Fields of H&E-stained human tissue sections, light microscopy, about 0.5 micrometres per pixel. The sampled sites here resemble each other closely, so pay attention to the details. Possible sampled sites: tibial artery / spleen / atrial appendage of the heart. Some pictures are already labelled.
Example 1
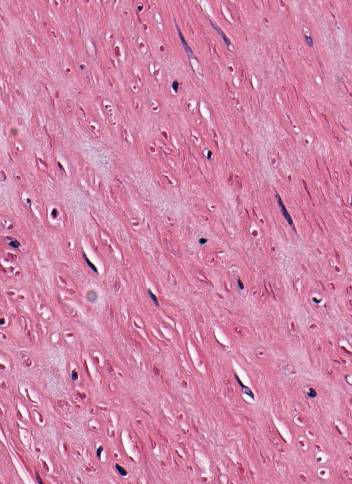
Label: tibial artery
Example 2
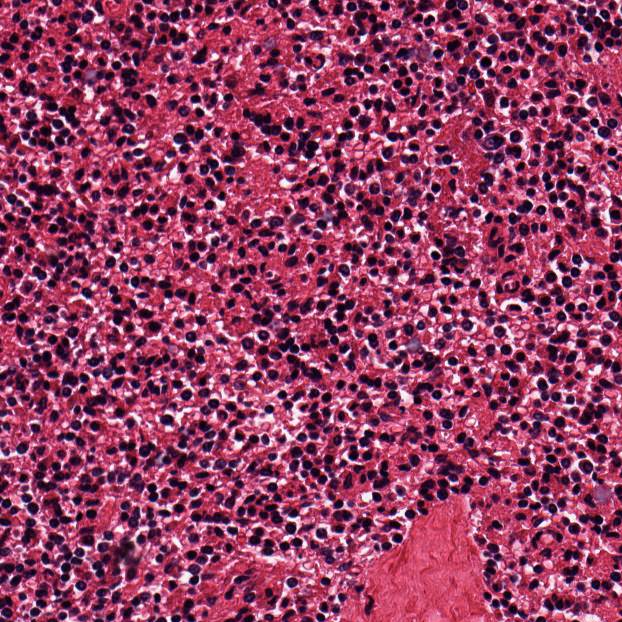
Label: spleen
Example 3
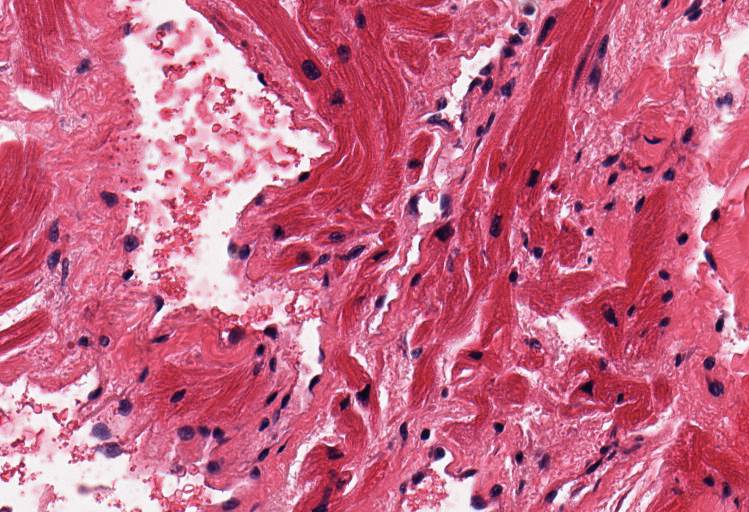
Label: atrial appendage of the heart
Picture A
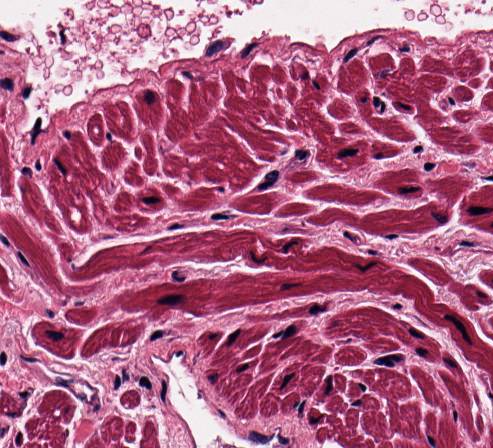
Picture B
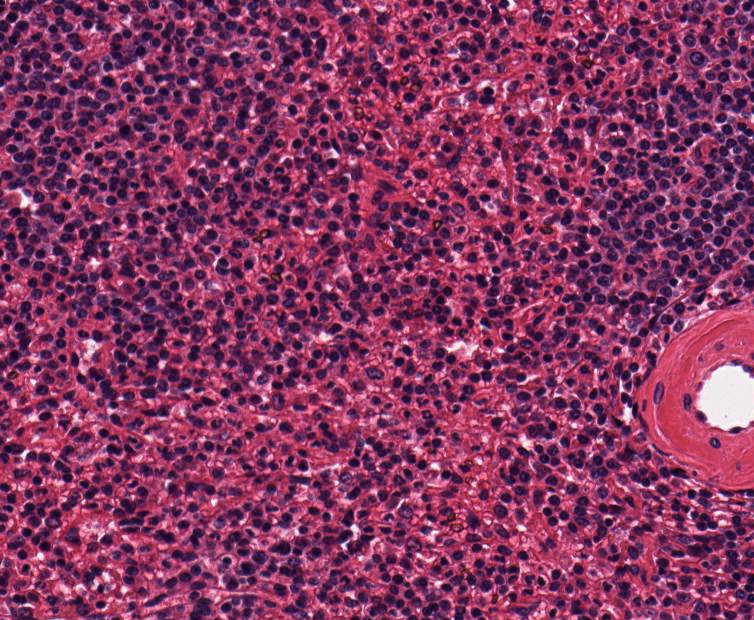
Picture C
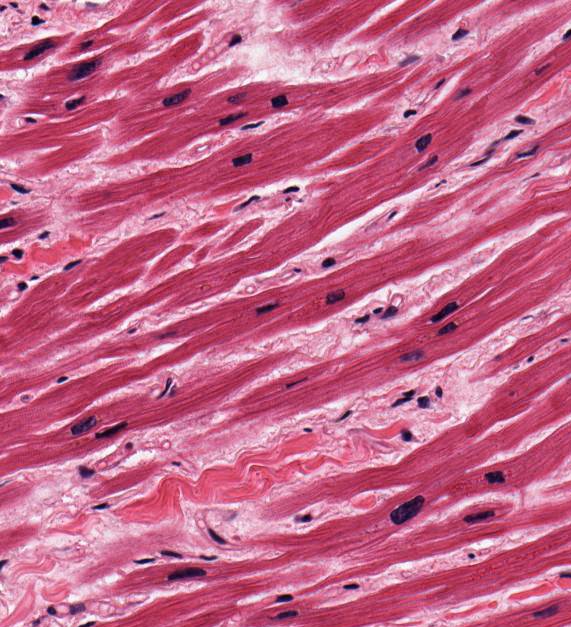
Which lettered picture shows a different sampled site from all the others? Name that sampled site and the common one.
Odd one out: B (spleen). The rest: atrial appendage of the heart.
